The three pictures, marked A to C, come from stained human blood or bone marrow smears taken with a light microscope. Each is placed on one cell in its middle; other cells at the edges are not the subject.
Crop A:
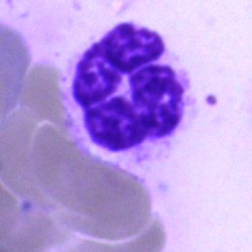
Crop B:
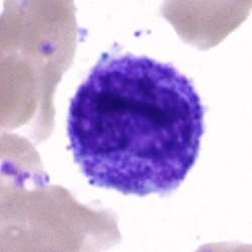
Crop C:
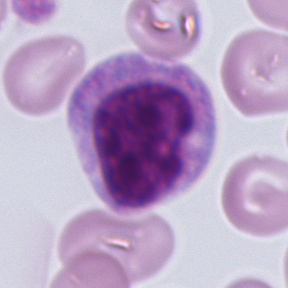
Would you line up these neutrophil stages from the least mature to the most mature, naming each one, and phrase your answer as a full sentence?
In ascending order of maturity, the sequence is crop B (a myelocyte), crop C (a metamyelocyte) and crop A (a segmented neutrophil).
